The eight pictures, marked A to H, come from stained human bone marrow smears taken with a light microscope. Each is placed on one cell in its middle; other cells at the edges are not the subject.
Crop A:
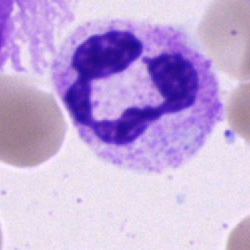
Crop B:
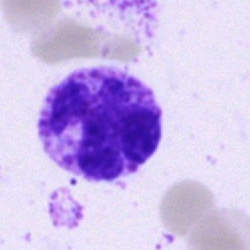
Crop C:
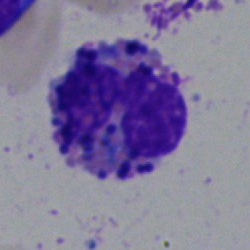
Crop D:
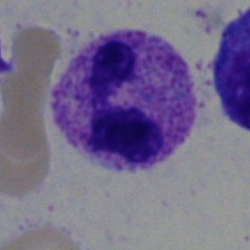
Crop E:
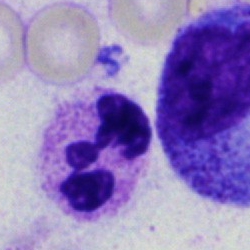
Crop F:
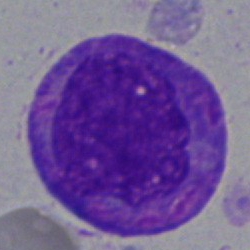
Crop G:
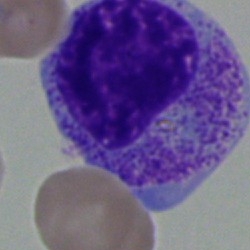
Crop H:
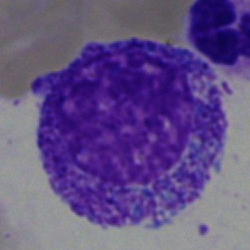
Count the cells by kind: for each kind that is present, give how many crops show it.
segmented neutrophil: 3
promyelocyte: 3
basophil: 2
